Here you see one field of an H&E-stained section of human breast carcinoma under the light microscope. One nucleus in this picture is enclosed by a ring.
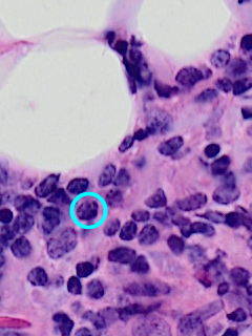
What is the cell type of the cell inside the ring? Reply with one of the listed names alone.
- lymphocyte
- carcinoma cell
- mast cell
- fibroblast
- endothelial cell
lymphocyte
